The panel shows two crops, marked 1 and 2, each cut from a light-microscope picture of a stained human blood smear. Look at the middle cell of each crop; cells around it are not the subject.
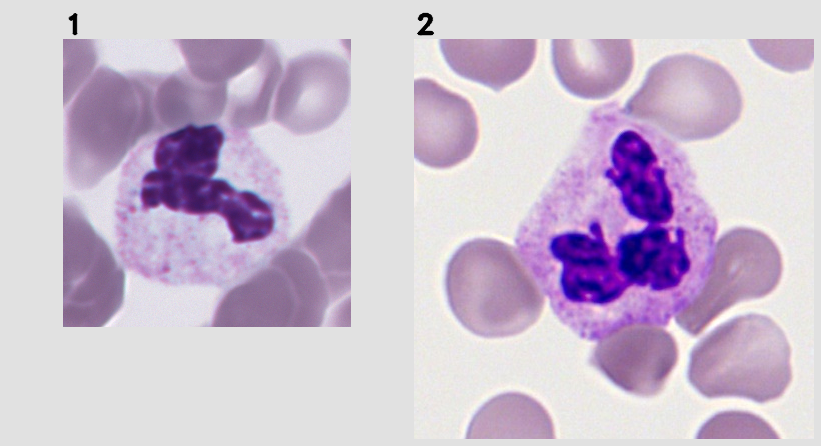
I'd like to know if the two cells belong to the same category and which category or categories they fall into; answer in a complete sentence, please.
Yes, both crops show segmented neutrophils, one in each.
